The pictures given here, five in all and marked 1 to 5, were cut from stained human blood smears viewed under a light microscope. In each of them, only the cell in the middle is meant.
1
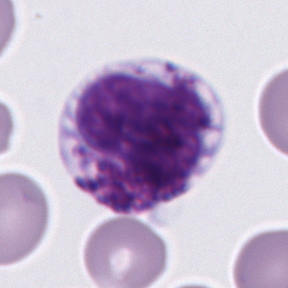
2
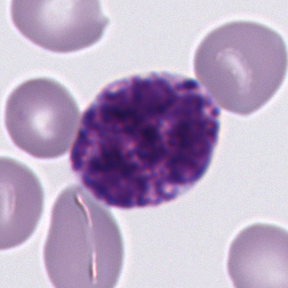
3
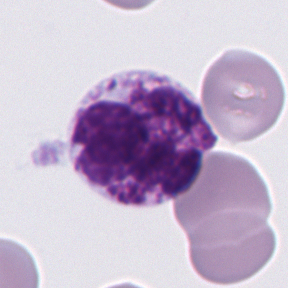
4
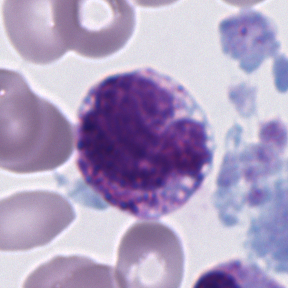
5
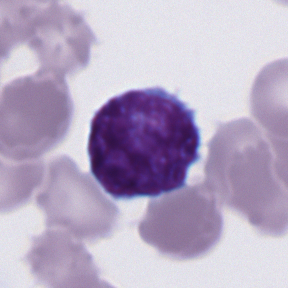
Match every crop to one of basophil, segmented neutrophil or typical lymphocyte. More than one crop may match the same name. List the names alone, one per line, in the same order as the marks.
basophil
basophil
basophil
basophil
typical lymphocyte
